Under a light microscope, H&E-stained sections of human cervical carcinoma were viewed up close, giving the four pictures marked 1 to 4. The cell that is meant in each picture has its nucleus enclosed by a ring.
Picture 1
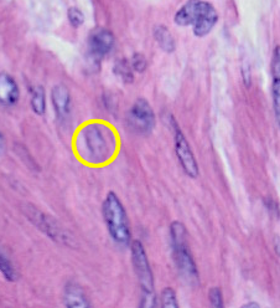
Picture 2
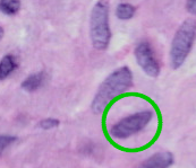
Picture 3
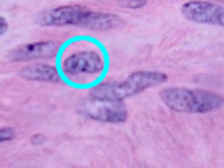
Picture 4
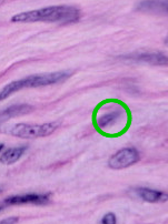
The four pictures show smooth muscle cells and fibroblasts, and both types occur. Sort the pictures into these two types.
1: smooth muscle cell
2: fibroblast
3: smooth muscle cell
4: smooth muscle cell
